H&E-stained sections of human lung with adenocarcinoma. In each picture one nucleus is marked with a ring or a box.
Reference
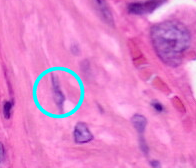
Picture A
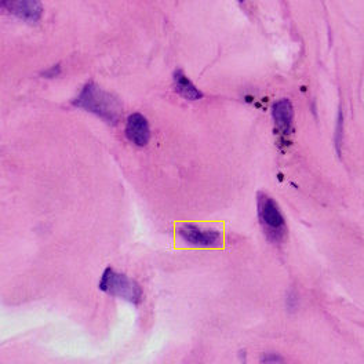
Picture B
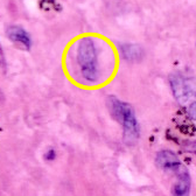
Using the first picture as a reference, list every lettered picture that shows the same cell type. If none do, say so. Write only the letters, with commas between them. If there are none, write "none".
A, B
